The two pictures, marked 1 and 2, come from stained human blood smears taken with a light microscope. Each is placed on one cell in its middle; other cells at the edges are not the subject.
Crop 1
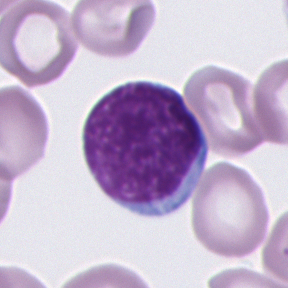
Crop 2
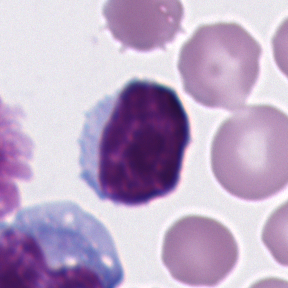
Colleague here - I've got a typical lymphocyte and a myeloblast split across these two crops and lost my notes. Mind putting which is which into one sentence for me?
Among the crops, crop 1 is a myeloblast and crop 2 is a typical lymphocyte.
